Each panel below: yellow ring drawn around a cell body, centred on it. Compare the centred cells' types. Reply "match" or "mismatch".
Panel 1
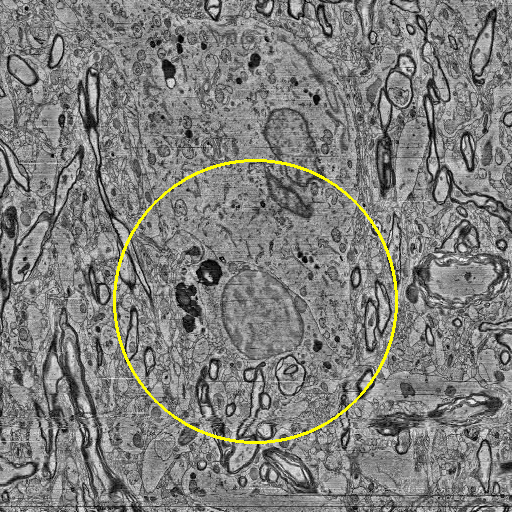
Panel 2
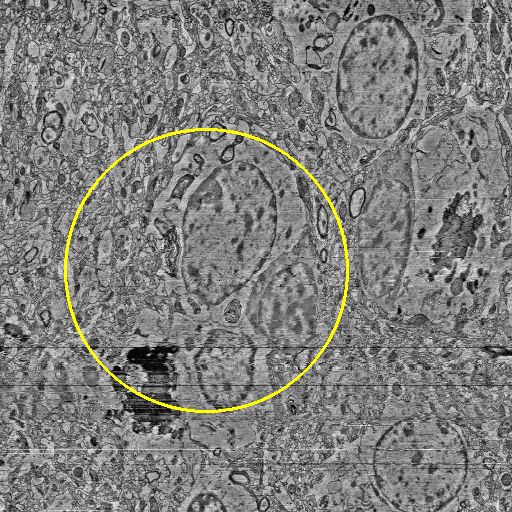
mismatch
